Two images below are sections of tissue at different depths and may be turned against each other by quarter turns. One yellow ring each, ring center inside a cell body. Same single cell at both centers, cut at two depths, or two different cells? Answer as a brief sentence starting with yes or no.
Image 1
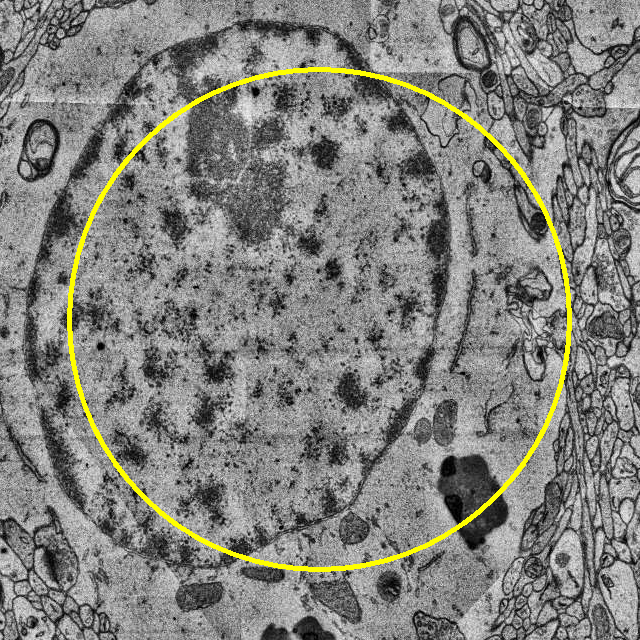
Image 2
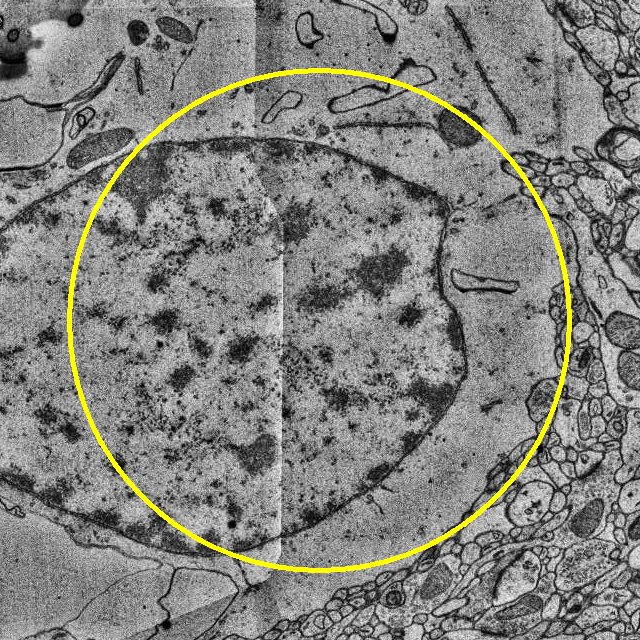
No, the ringed cells are two separate cells.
